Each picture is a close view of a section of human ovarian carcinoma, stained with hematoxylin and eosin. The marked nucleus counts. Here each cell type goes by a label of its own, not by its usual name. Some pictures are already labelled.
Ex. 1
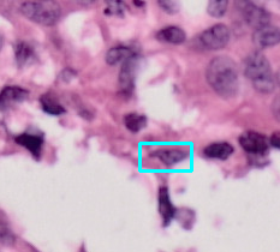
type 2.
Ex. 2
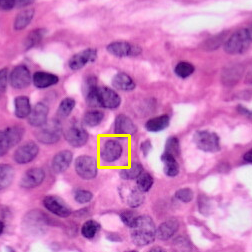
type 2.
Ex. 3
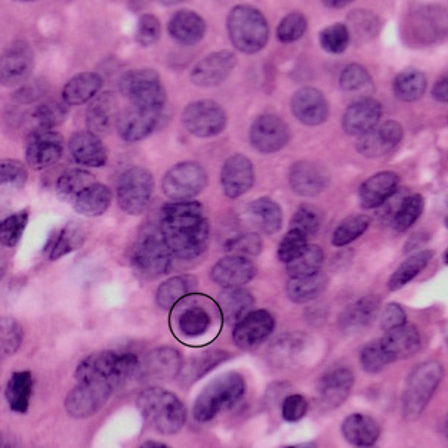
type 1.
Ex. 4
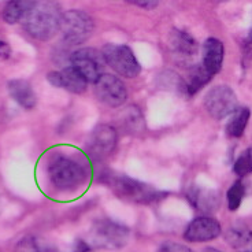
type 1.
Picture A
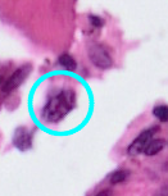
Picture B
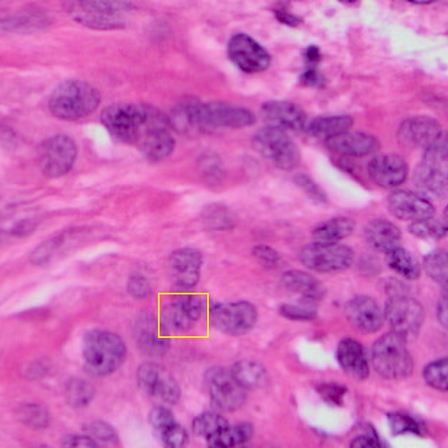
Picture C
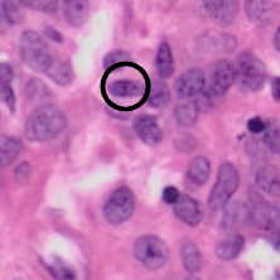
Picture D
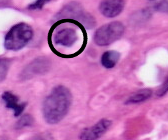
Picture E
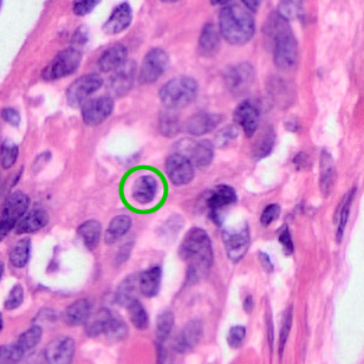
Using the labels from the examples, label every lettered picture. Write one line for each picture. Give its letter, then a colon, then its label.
A: type 1.
B: type 1.
C: type 2.
D: type 1.
E: type 2.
